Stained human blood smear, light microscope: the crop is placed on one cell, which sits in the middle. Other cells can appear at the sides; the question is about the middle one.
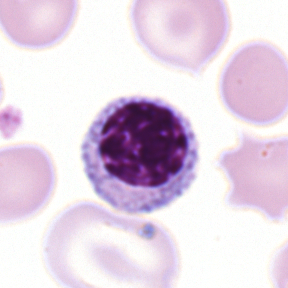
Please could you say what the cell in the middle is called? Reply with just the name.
normoblast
